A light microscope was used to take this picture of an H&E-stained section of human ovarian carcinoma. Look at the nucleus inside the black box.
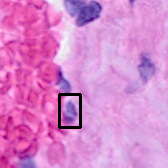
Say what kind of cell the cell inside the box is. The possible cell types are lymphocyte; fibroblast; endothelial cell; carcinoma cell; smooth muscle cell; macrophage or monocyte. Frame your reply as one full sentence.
At the level of cell identity, the cell inside the box is an endothelial cell.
